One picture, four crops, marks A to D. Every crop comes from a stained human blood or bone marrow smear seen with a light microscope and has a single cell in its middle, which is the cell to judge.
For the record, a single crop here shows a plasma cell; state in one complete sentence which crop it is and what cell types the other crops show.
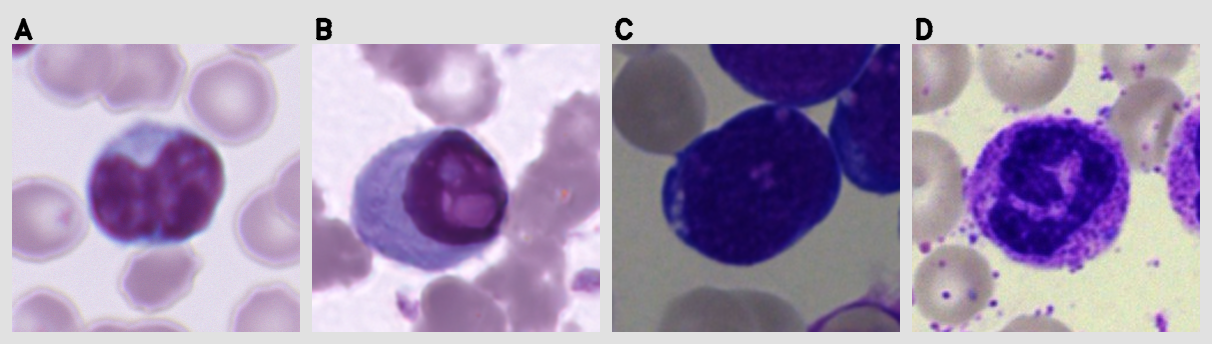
Crop B represents a plasma cell, while crop A is a lymphocyte, crop C is a blast and crop D is a neutrophil.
